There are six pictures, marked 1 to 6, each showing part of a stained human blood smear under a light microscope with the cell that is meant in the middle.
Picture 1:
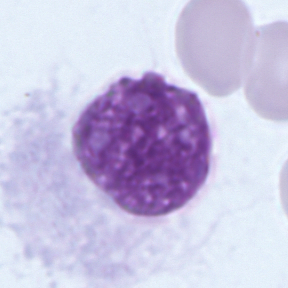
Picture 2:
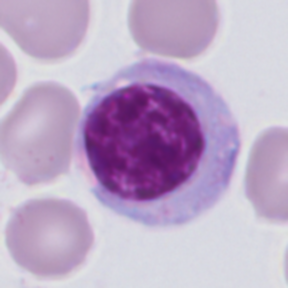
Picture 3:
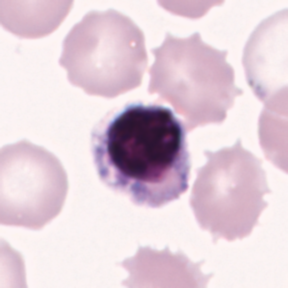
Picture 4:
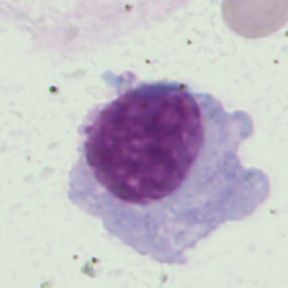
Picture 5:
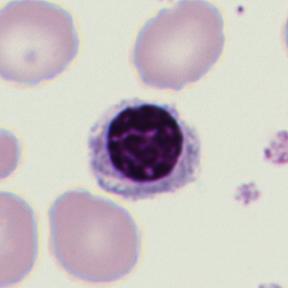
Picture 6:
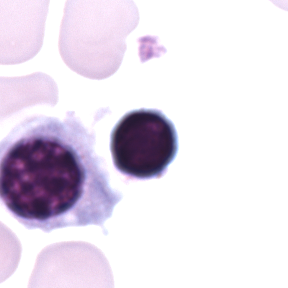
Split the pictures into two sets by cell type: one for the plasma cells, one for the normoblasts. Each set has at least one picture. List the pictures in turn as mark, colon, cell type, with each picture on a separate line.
1: plasma cell
2: plasma cell
3: normoblast
4: plasma cell
5: normoblast
6: normoblast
